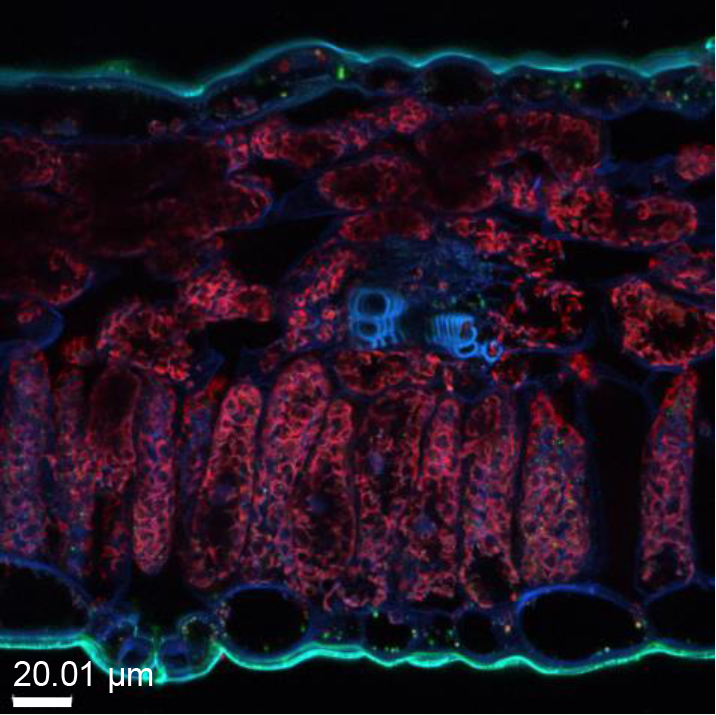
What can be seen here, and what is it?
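Leaf cross-section showing mesophyll cells lying between two epidermal layers edged by bright cyan outer walls. One side holds a row of elongated, column-like cells set side by side; the other holds rounder, loosely arranged cells separated by dark air spaces. The cells are packed with small magenta chloroplasts lining their walls. A small vascular bundle sits in the middle, with ring-thickened cyan walls of conducting elements. Green dots are few and tiny.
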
